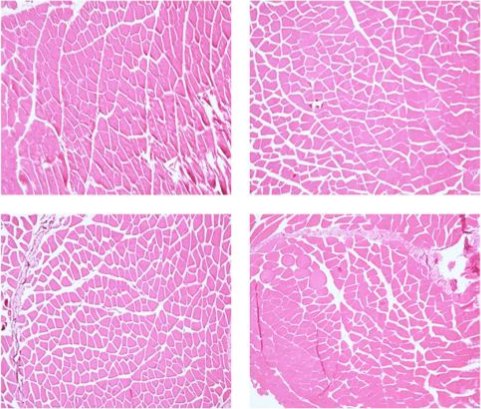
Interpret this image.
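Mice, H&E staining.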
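The muscle fibres appear as closely packed, angular to polygonal pink profiles of varying size. The fibres are grouped into bundles separated by narrow white clefts and thin strands of connective tissue. In some fields, looser fibrous tissue lies at the edge of the muscle.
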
